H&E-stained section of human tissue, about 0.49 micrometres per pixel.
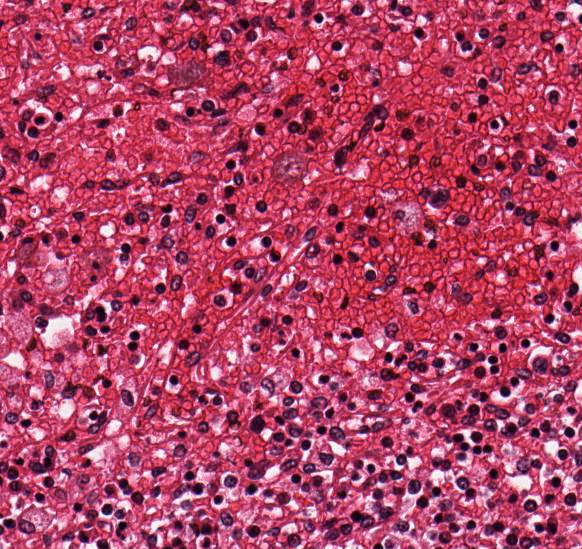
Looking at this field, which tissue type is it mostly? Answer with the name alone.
red pulp of the spleen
